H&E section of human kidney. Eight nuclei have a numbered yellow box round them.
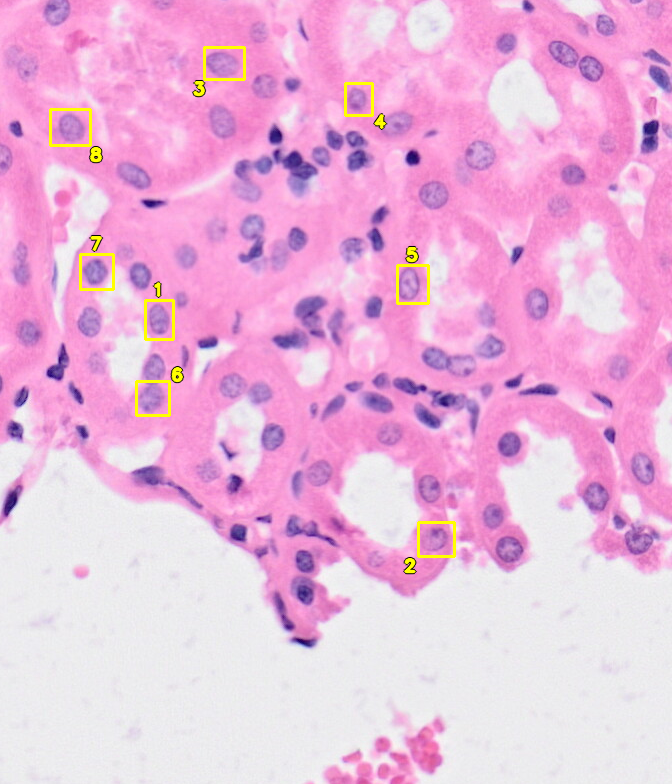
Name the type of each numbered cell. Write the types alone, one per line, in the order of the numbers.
loop of Henle or distal tubule cell
proximal tubule cell
proximal tubule cell
proximal tubule cell
proximal tubule cell
loop of Henle or distal tubule cell
loop of Henle or distal tubule cell
proximal tubule cell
